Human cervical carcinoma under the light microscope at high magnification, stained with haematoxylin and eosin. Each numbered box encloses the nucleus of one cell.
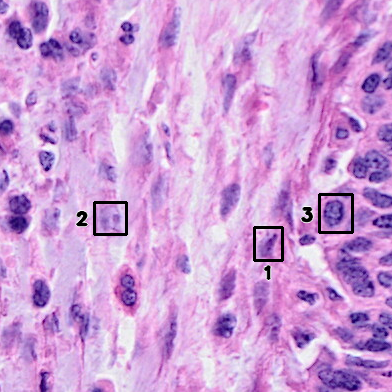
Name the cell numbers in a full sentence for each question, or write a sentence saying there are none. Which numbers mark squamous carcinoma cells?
The cell marked by number 3 is a squamous carcinoma cell; the other marked cells are not.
